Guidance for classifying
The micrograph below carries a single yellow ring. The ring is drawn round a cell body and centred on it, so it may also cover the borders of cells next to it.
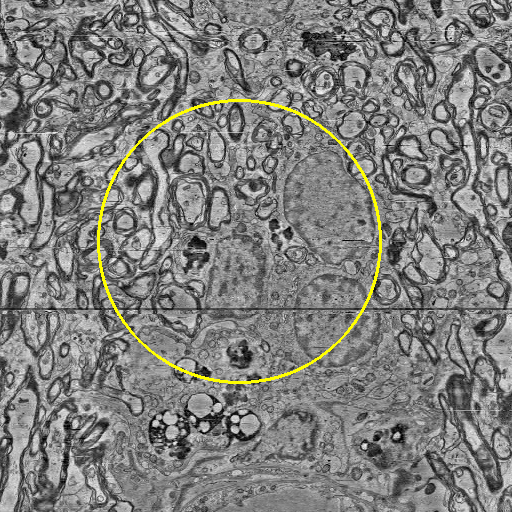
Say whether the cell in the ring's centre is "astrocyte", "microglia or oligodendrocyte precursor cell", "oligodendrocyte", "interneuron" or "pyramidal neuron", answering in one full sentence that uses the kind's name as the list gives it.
Within the yellow ring, an oligodendrocyte is the cell whose body sits at the centre.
